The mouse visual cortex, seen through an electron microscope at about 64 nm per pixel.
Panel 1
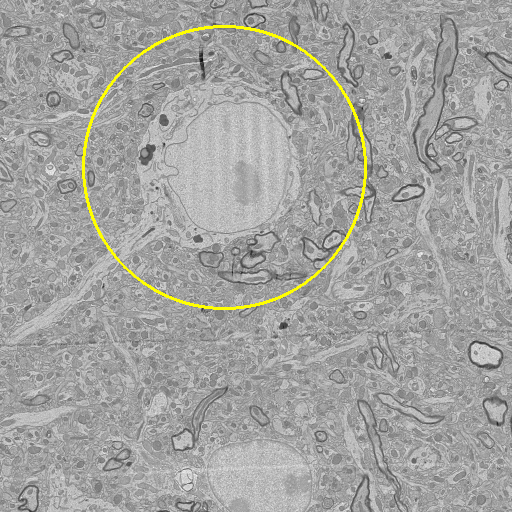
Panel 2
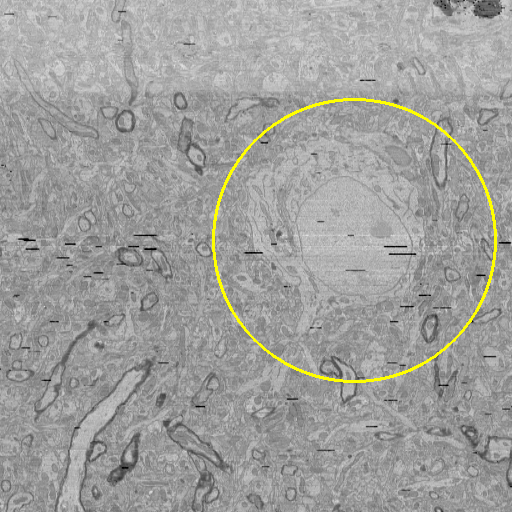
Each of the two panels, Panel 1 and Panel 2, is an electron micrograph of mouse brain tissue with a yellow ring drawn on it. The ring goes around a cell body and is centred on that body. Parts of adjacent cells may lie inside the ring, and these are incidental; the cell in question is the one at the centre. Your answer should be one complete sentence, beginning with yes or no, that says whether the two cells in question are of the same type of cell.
Yes, the two cells are of the same type.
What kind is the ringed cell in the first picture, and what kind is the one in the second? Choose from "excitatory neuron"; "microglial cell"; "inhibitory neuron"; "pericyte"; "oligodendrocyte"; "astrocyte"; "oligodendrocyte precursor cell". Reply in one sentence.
Both cells are the same kind, each one being an excitatory neuron.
